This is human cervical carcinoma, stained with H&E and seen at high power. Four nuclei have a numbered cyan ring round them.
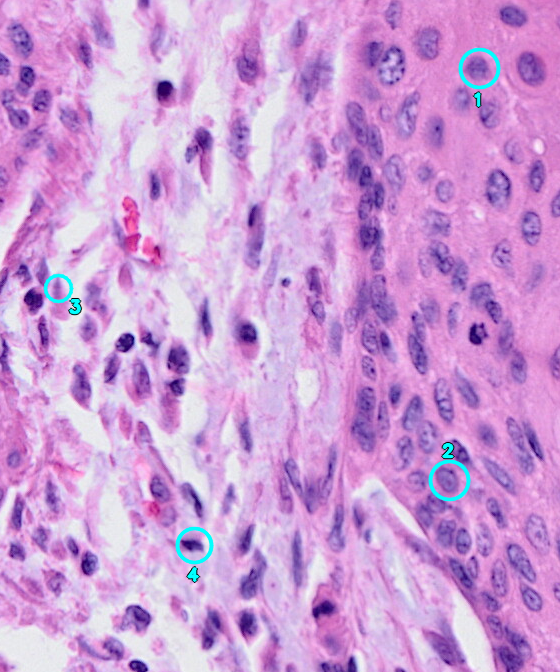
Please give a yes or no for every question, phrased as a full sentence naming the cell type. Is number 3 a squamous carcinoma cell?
No, number 3 does not mark a squamous carcinoma cell; it marks a fibroblast.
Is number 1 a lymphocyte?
No, cell 1, which is a squamous carcinoma cell, is not a lymphocyte.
